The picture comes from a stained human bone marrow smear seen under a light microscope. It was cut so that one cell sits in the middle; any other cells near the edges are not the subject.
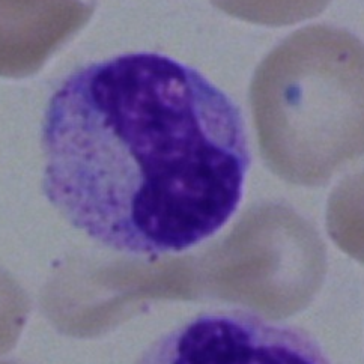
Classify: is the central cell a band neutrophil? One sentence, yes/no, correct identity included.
Yes, shown in the middle of the crop is a band neutrophil.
